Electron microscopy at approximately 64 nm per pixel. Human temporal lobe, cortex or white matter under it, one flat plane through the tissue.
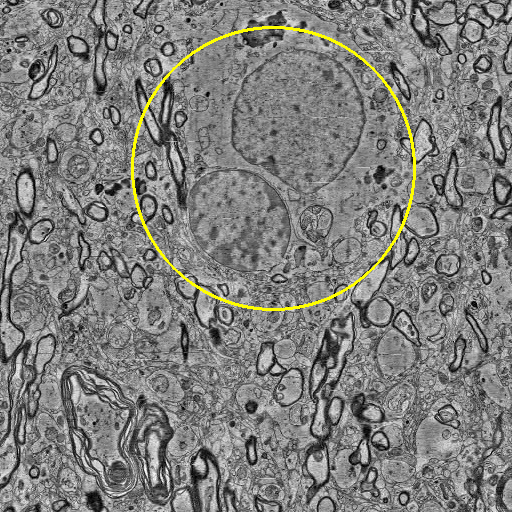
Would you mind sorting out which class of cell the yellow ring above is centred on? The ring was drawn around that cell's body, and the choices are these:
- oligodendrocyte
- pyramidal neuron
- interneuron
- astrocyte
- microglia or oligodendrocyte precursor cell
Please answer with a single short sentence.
This is the cell body of an astrocyte.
